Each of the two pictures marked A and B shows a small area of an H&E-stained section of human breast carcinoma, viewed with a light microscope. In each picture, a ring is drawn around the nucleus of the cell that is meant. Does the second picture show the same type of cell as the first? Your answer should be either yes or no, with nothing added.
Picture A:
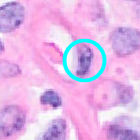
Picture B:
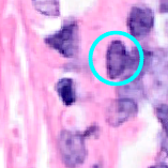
no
